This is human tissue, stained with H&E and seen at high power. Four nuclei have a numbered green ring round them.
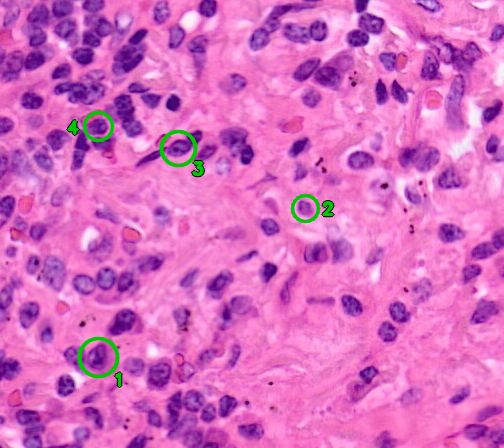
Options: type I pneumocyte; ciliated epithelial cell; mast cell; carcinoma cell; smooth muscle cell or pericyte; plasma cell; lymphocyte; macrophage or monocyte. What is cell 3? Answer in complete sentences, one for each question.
Looking at the numbered marks, cell 3 is a lymphocyte.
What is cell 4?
Cell number 4 in this section is a lymphocyte.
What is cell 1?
Number 1 among the marked cells is a plasma cell.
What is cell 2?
The cell pointed out by number 2 is a lymphocyte.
